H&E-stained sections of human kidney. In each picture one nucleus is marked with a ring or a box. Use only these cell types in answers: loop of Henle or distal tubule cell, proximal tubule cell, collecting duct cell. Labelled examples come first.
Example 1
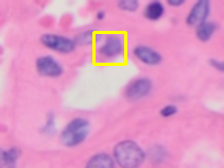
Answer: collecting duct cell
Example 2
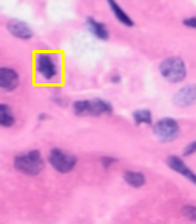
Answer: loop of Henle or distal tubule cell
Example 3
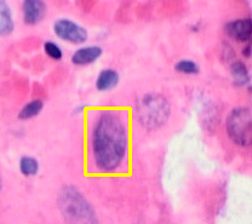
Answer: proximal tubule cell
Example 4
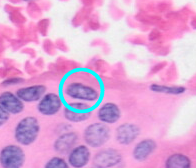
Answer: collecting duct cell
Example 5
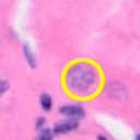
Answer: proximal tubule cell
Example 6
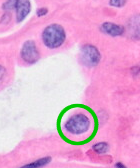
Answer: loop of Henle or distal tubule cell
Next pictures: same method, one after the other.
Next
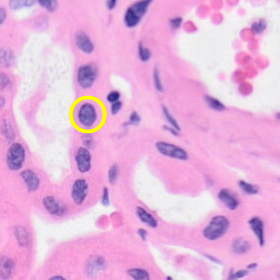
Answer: collecting duct cell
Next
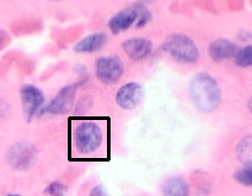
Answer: loop of Henle or distal tubule cell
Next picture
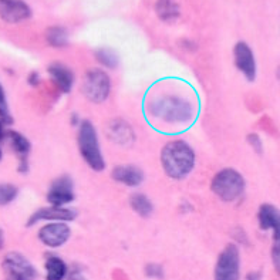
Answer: loop of Henle or distal tubule cell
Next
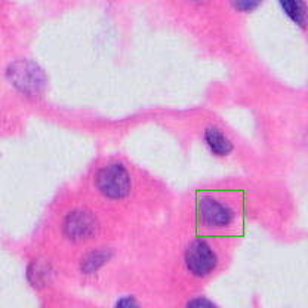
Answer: loop of Henle or distal tubule cell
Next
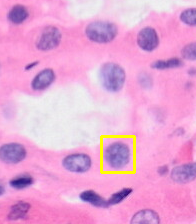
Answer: loop of Henle or distal tubule cell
